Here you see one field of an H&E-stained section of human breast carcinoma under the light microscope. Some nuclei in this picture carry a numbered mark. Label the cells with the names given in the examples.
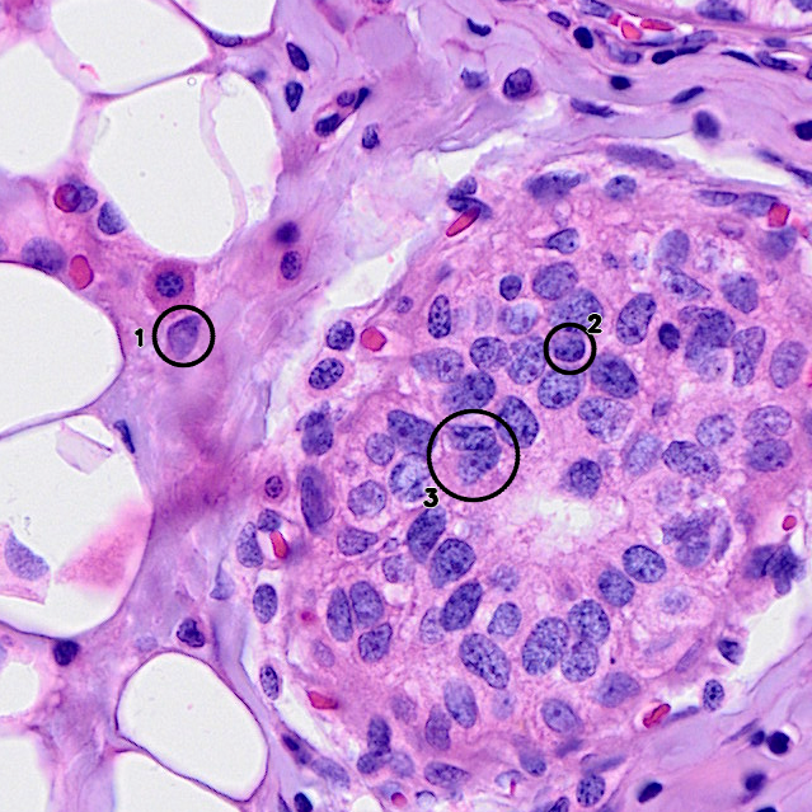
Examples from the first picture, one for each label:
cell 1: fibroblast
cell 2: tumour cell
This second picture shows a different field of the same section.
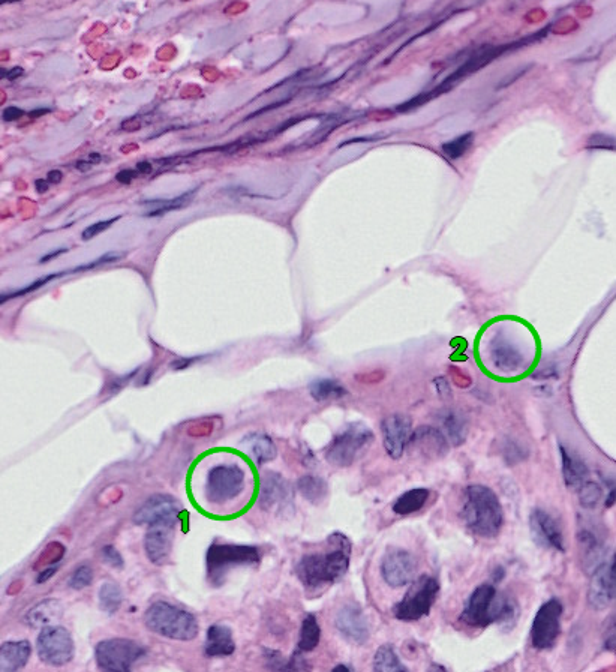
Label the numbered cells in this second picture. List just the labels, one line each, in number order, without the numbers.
tumour cell
fibroblast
